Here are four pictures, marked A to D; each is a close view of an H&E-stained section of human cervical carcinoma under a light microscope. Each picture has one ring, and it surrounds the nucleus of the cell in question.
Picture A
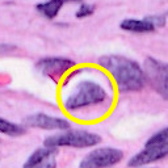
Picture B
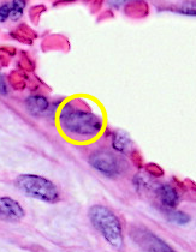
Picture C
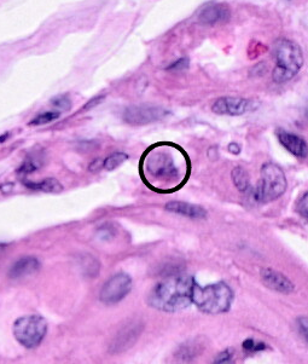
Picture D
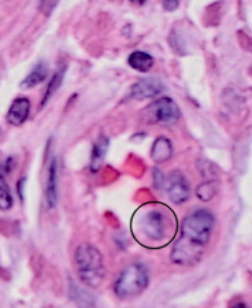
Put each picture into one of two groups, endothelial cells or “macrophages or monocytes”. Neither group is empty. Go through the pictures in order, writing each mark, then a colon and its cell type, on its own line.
A: endothelial cell
B: endothelial cell
C: macrophage or monocyte
D: endothelial cell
